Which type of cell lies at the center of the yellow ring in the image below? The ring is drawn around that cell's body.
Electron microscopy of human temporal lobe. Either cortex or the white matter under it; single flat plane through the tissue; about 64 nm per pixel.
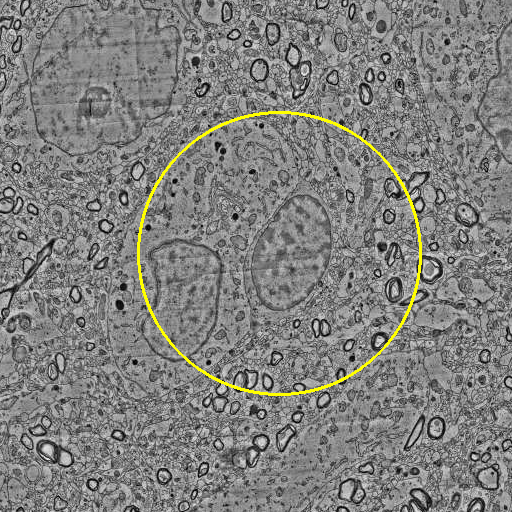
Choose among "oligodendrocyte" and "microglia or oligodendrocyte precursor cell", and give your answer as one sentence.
The cell body at the center belongs to an oligodendrocyte.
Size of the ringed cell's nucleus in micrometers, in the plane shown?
At approximately 8 by 5 micrometres, the nucleus is clearly longer than it is wide in this plane.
